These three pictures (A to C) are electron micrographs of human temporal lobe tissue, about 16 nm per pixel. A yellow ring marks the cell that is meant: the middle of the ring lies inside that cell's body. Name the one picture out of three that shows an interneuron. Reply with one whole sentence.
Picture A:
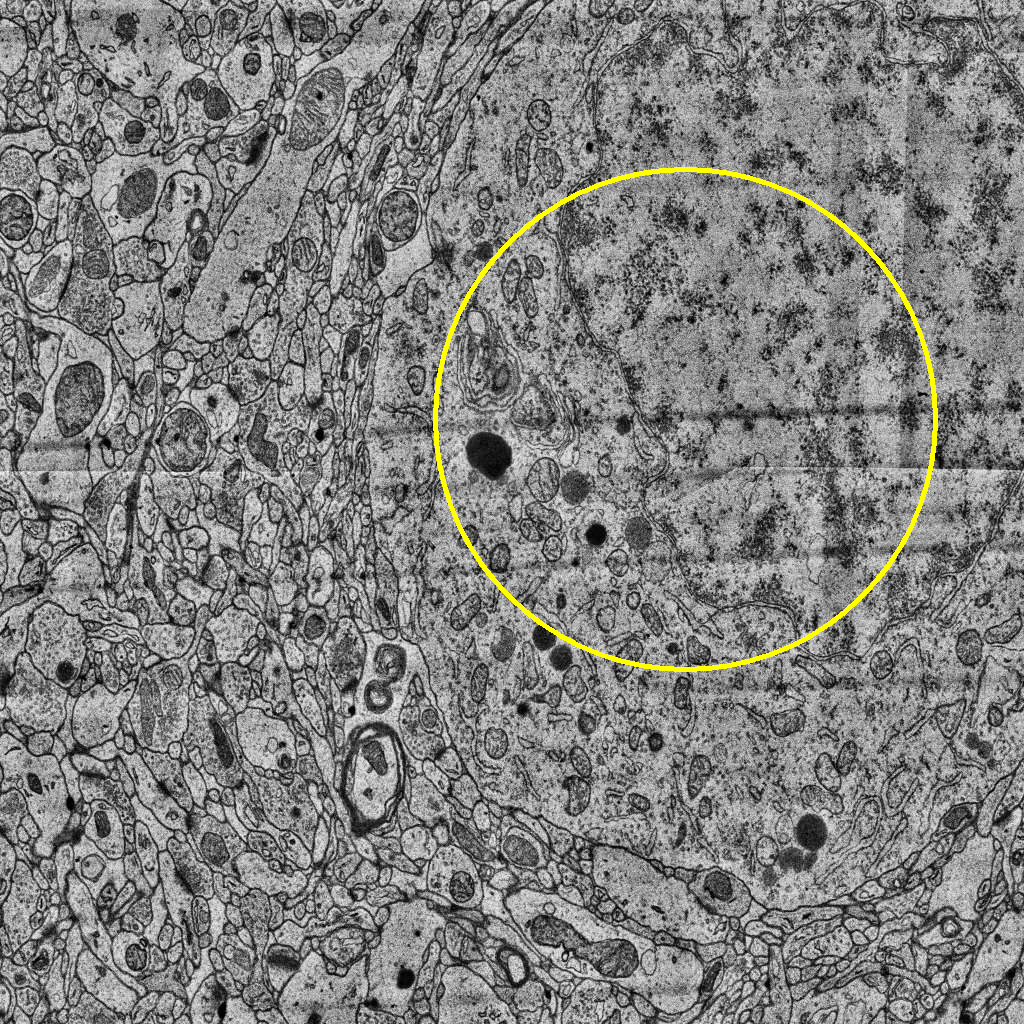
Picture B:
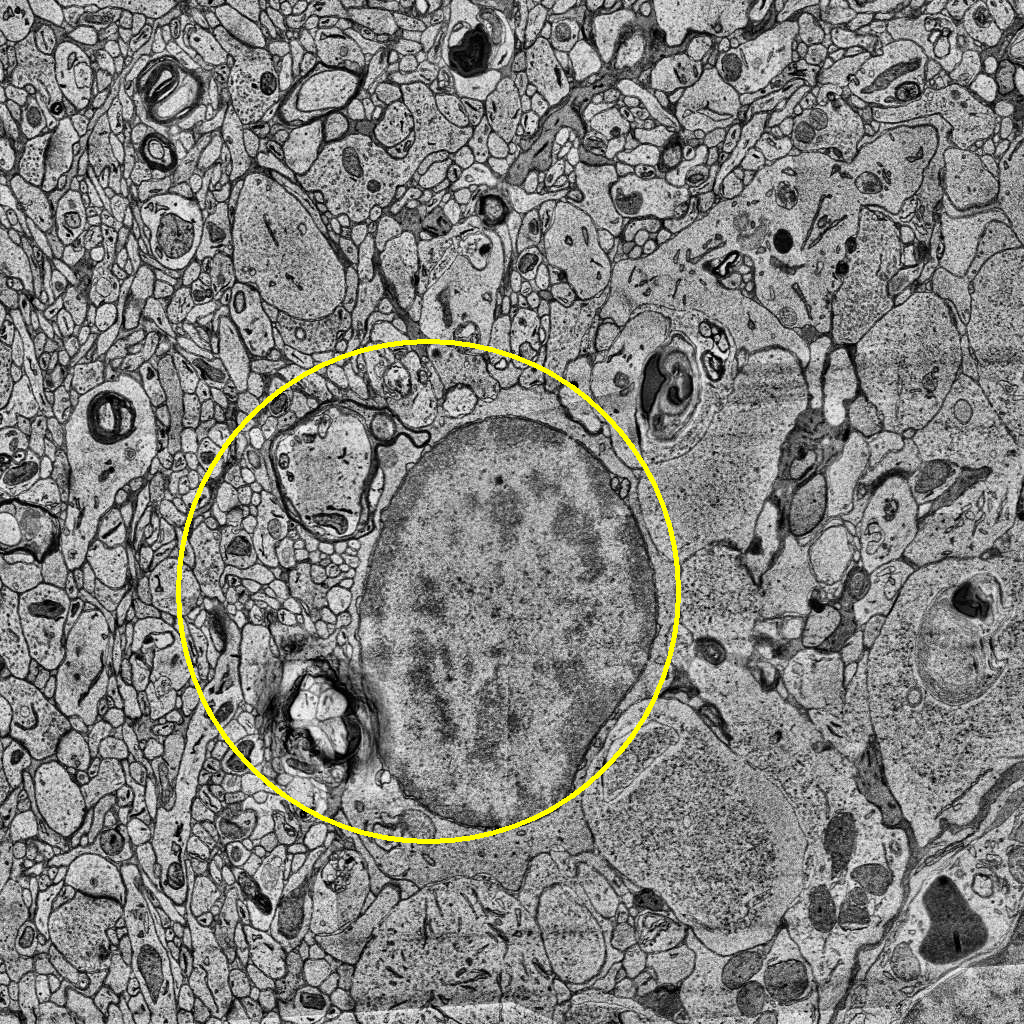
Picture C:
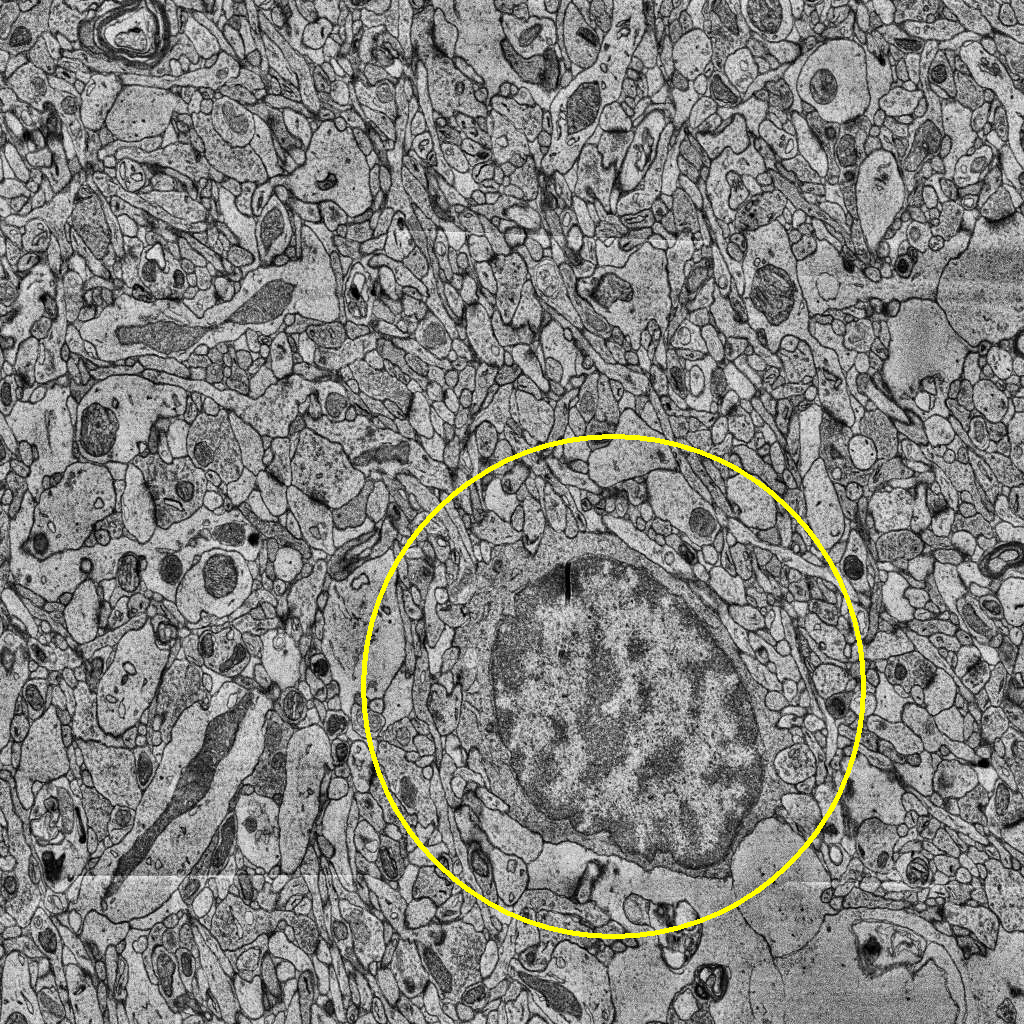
The cell in picture A is the interneuron.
